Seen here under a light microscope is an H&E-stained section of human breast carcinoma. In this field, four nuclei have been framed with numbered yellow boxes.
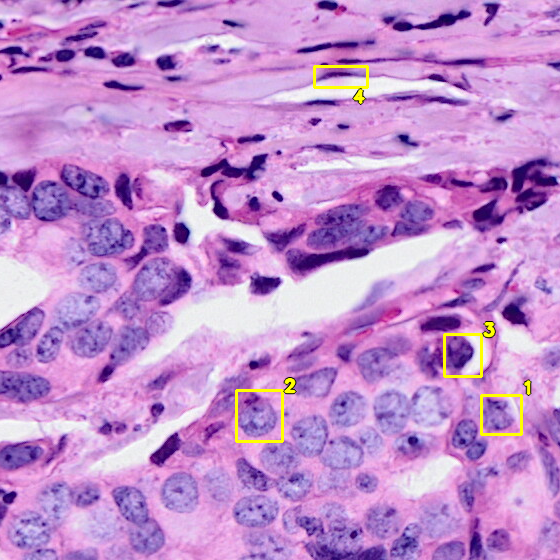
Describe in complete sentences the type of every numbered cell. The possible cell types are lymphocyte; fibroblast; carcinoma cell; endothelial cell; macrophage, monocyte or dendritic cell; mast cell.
Cells 1, 2 and 3 are carcinoma cells. Cell 4 is a fibroblast.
